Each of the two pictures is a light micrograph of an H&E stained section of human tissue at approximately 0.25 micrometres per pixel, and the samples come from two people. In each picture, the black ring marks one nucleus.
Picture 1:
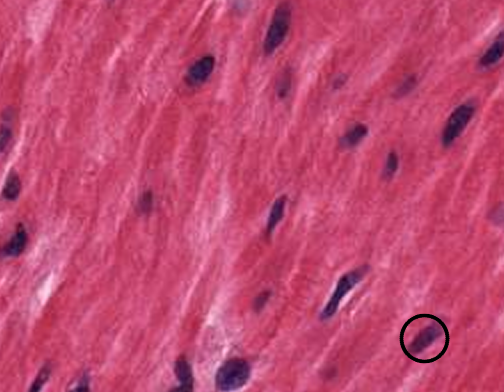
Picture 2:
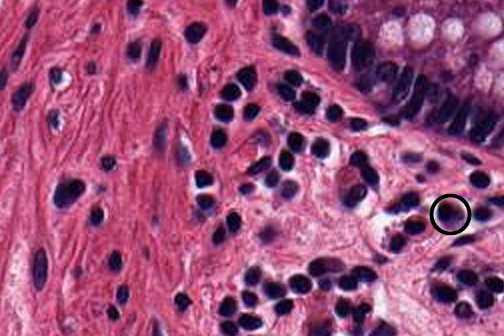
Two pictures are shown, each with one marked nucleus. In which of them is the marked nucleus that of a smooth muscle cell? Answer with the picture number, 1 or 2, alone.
1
